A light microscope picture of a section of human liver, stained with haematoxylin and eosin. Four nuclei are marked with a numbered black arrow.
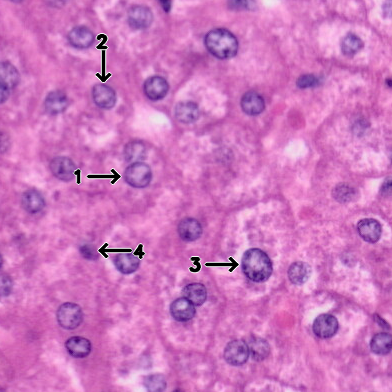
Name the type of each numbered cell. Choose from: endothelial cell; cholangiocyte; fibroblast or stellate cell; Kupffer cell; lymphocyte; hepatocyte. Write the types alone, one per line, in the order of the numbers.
hepatocyte
hepatocyte
hepatocyte
endothelial cell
